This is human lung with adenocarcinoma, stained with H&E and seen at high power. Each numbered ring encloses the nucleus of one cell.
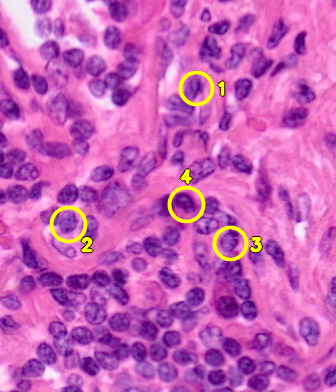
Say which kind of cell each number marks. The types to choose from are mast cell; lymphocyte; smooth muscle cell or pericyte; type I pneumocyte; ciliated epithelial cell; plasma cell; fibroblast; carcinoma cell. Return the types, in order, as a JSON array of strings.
["lymphocyte", "lymphocyte", "lymphocyte", "plasma cell"]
